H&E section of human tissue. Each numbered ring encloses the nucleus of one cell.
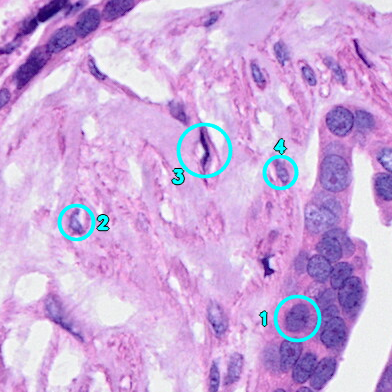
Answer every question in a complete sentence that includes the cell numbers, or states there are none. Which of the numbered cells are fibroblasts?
The cells 2, 3 and 4 in this section are fibroblasts.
